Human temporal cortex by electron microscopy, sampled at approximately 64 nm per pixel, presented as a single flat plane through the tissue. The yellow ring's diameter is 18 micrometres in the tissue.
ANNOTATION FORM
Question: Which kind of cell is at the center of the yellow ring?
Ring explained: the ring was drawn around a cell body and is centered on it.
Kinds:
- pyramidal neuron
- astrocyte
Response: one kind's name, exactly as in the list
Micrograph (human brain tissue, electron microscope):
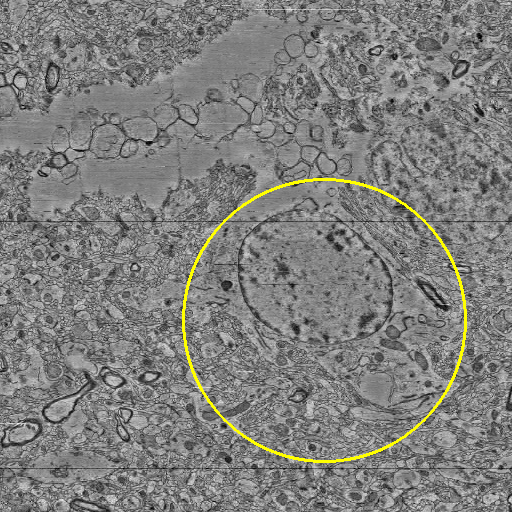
astrocyte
